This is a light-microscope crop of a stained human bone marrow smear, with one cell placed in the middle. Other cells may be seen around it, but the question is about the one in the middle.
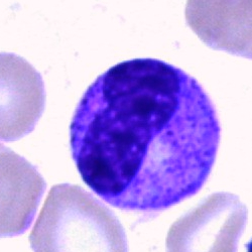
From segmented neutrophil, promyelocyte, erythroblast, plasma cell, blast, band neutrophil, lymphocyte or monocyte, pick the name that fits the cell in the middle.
band neutrophil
